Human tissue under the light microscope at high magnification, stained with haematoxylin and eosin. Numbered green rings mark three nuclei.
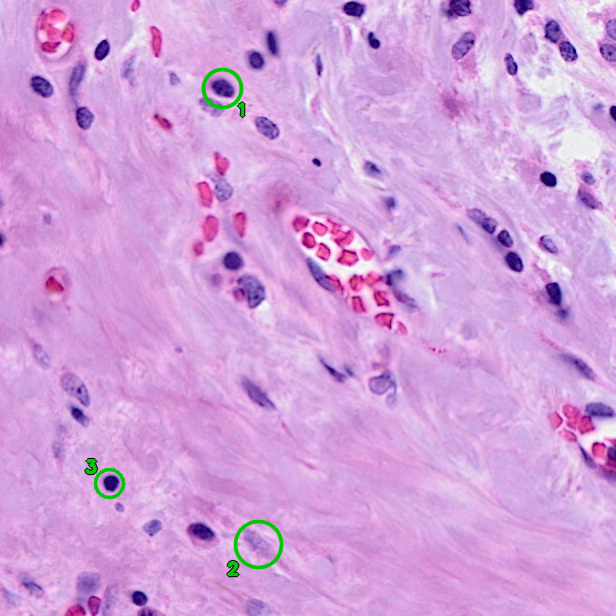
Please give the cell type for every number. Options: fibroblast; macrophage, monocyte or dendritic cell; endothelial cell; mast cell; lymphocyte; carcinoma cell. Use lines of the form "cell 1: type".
cell 1: lymphocyte
cell 2: fibroblast
cell 3: lymphocyte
